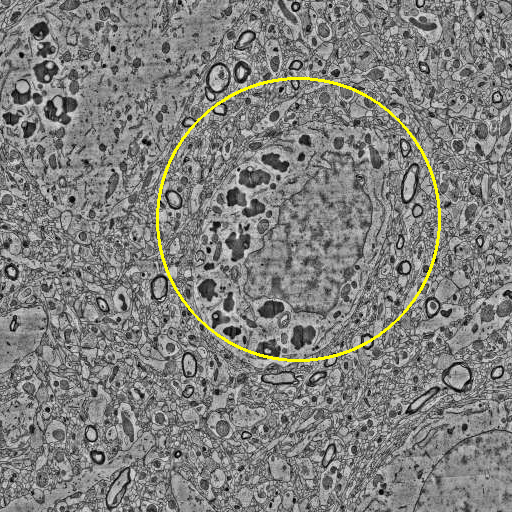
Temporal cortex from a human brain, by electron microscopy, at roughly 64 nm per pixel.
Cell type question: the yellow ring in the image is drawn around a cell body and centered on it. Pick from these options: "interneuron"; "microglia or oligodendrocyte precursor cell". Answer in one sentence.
The ringed cell at the center is an interneuron.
